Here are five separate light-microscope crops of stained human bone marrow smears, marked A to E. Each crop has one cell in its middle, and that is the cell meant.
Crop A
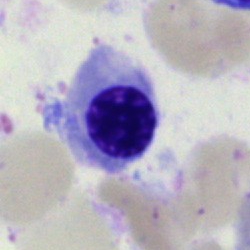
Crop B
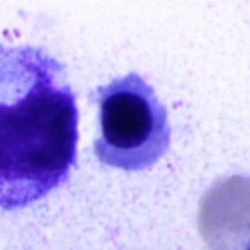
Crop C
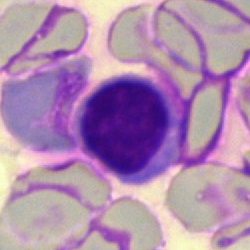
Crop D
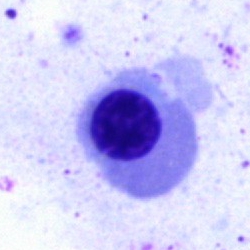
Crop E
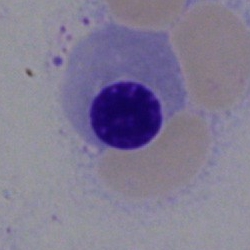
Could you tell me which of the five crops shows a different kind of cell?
C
